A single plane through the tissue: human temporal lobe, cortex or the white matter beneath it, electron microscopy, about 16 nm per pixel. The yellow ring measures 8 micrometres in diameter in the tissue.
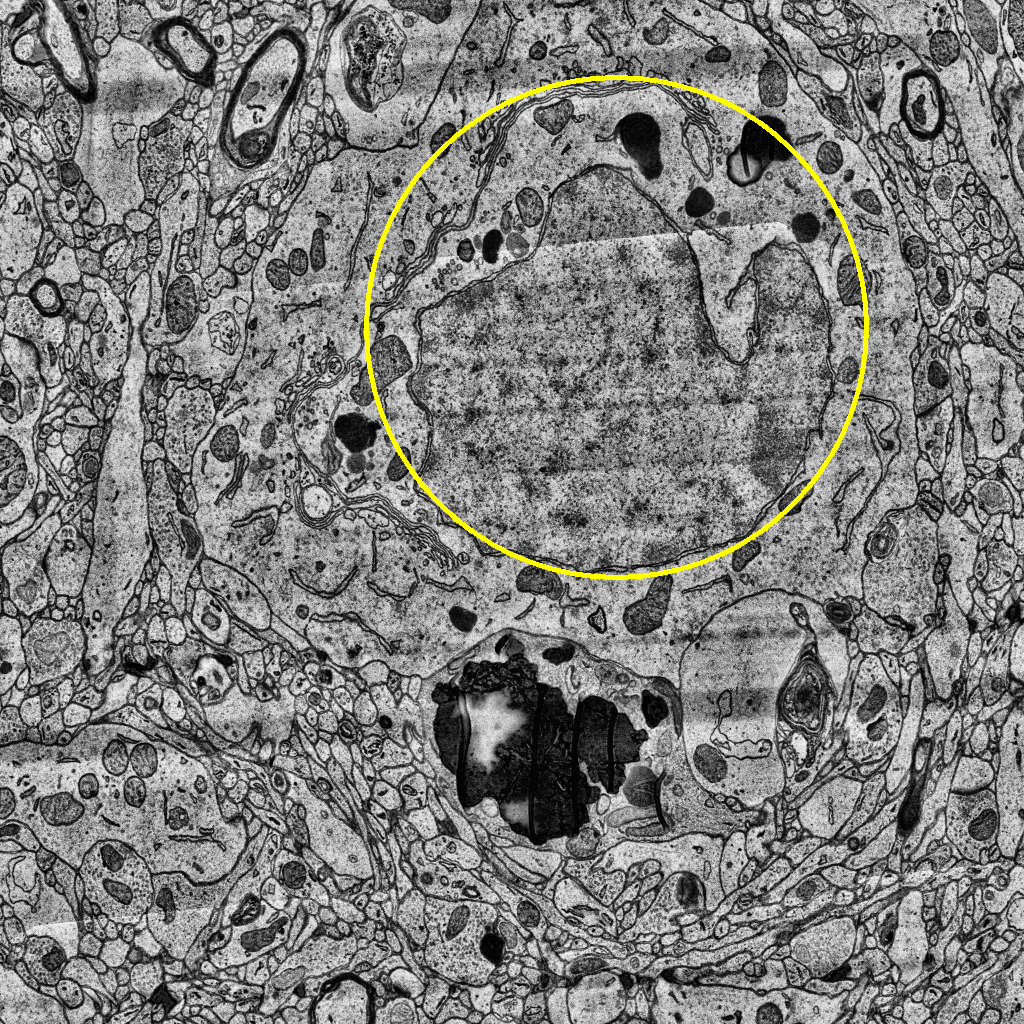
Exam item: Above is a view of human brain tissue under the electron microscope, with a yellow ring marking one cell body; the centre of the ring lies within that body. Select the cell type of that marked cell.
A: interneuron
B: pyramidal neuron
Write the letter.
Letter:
A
